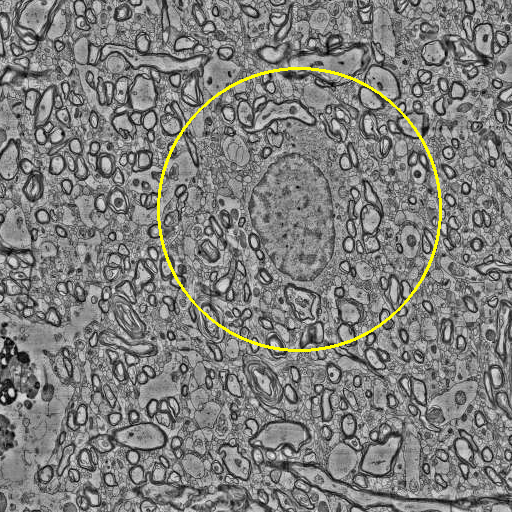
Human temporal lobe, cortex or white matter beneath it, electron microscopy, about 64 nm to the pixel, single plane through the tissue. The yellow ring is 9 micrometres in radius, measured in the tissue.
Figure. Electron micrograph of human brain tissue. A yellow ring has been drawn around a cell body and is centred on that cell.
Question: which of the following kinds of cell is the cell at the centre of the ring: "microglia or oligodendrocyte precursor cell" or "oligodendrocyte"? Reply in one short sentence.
The cell at the centre of the ring is an oligodendrocyte.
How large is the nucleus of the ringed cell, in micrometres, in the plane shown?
About 8 by 5 micrometres, the nucleus being clearly longer than it is wide in this plane.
